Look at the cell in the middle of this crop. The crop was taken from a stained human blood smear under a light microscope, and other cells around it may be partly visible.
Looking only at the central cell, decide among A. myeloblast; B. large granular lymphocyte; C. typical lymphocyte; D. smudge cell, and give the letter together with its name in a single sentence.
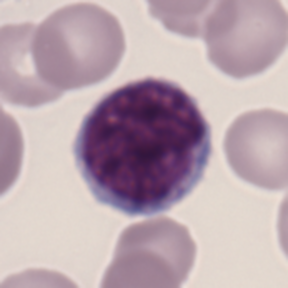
The cell right in the middle is a typical lymphocyte, so option C is the one.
